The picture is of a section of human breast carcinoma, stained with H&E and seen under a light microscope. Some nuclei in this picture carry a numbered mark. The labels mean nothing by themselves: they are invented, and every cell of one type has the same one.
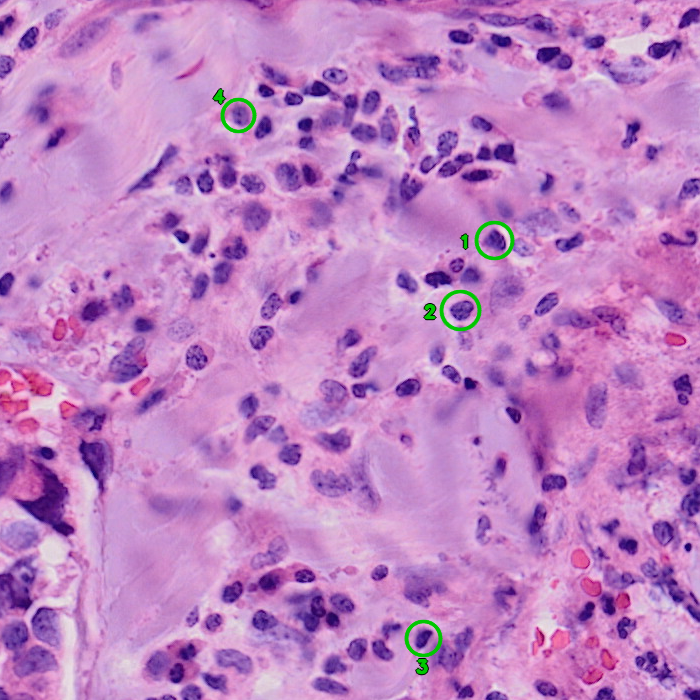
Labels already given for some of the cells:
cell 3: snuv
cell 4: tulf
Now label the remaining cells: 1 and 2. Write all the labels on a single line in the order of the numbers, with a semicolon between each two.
snuv; snuv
